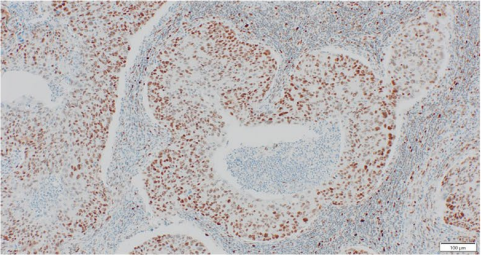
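Large nests of closely packed tumor cells with round nuclei fill the field, separated by bands of stroma and cleft-like spaces. One nest has a central space holding a loose collection of blue-stained cells. The stroma between the nests is mostly blue with only scattered brown nuclei.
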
